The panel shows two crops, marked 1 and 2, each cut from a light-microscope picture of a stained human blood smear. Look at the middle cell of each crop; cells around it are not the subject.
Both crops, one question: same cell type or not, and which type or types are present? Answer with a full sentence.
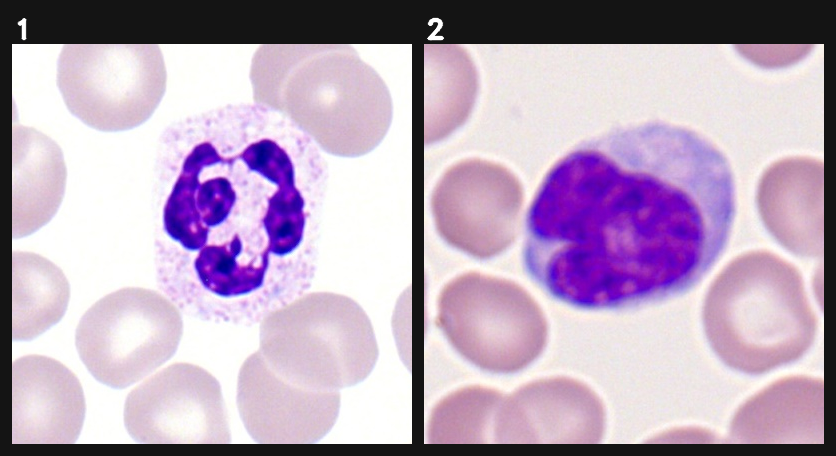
No, the labels go like this: crop 1 is a segmented neutrophil and crop 2 is a monocyte.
